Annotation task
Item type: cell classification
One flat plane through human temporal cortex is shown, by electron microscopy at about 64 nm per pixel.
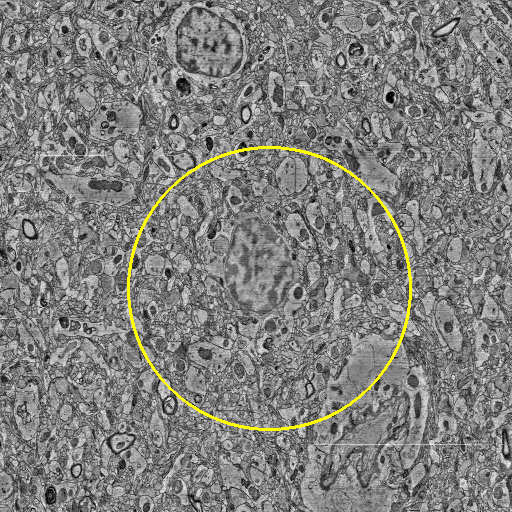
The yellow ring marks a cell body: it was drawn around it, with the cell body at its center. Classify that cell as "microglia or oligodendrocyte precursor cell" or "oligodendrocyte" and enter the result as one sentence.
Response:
The ring's center falls on an oligodendrocyte.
